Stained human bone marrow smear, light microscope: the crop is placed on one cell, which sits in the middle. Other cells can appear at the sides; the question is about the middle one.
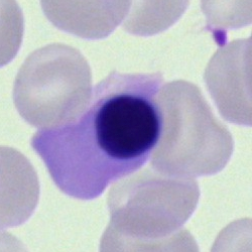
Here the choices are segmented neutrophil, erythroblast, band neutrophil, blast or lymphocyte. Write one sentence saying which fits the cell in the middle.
The cell around which this crop is centred is an erythroblast.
